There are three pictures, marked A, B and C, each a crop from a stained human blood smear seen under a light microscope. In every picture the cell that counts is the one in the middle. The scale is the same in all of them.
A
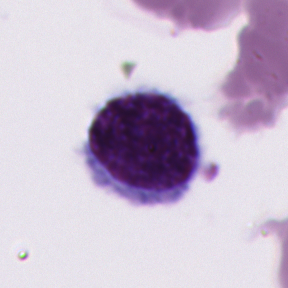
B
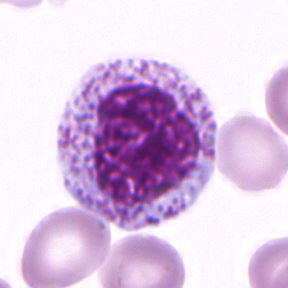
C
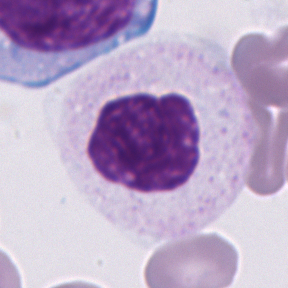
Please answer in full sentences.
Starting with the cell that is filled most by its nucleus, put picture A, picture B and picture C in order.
From the most filled to the least, the order is A, B, C.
